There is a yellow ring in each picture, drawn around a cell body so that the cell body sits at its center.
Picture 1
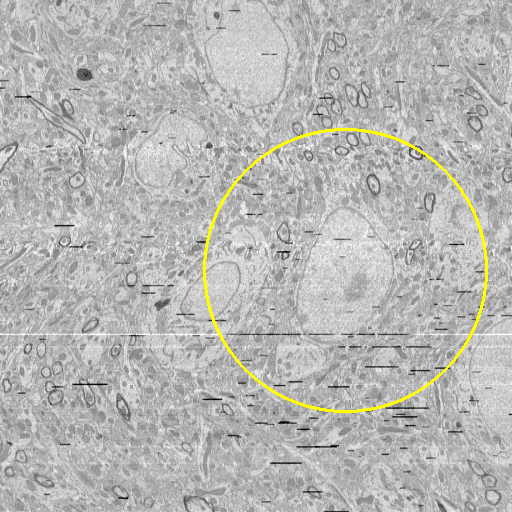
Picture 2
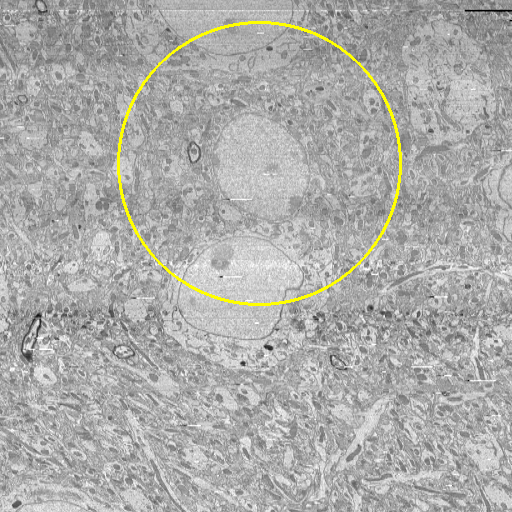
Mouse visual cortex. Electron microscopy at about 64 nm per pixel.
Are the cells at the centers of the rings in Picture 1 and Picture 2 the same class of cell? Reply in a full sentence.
Yes, the two cells are the same class of cell.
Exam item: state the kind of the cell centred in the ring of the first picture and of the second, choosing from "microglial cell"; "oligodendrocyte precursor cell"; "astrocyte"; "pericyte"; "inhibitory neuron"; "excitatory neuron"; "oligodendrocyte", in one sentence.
The ring centre holds an astrocyte in each of the two pictures.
